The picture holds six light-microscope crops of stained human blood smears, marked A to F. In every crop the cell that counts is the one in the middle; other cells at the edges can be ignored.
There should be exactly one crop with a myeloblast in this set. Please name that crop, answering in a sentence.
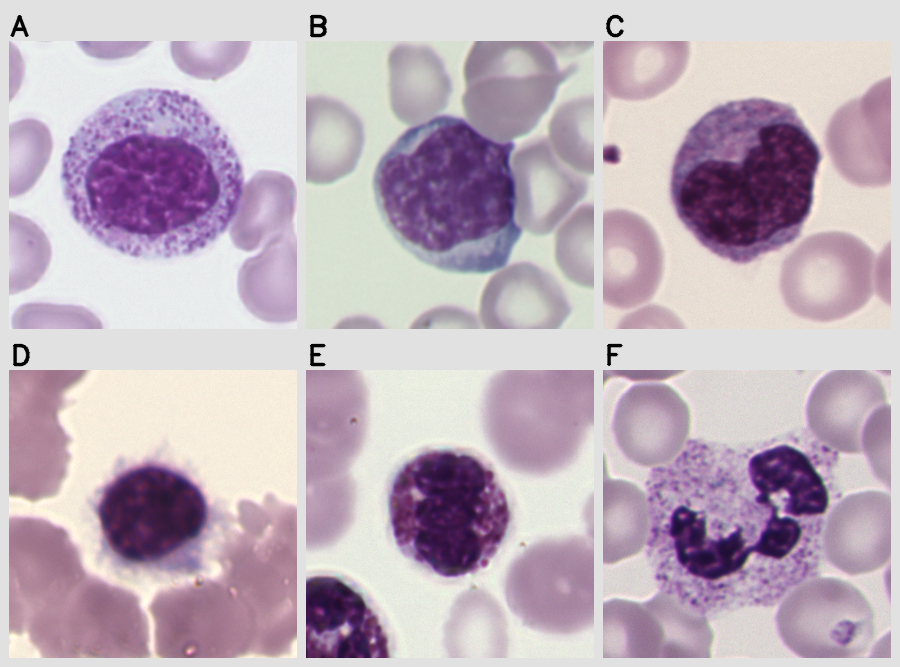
The correct choice is crop B, the one showing a myeloblast.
